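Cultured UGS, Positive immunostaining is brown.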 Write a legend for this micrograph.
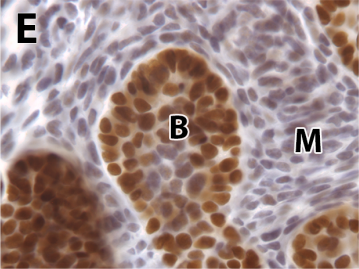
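A rounded prostatic bud of epithelium lies embedded in loosely arranged mesenchyme. The surrounding mesenchymal cells have smaller, elongated or oval nuclei stained only blue, set in pale cytoplasm with more space between them. Parts of further brown-stained buds appear at the edges of the field.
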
